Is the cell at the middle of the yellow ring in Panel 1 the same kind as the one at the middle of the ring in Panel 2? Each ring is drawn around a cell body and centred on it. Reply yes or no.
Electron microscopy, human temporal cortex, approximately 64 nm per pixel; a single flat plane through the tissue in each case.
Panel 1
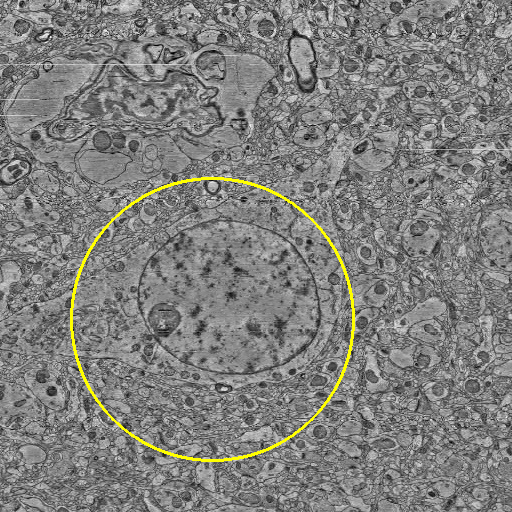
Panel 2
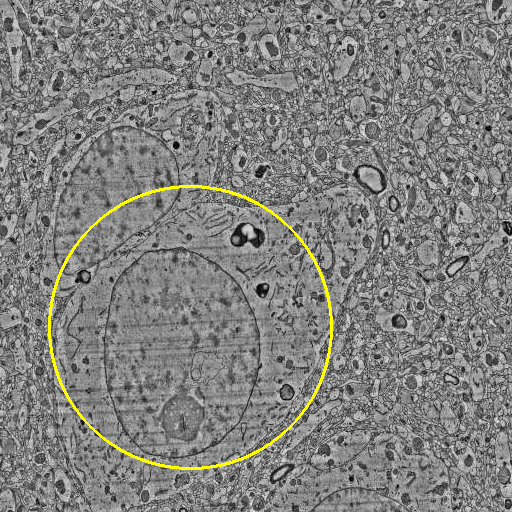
yes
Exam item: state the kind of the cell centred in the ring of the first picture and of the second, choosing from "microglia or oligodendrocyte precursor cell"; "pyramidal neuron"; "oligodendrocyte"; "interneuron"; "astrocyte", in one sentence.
Both rings mark a pyramidal neuron, one in each picture.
